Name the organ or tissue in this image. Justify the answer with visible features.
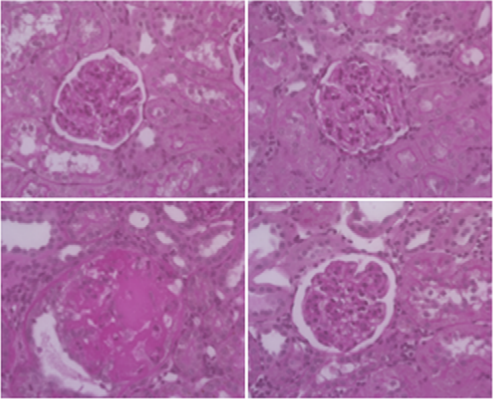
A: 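Kidney tissue. Cross-sectioned tubules with cuboidal epithelium and lumens surround the glomeruli.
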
